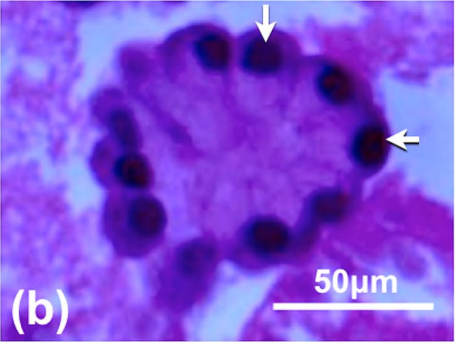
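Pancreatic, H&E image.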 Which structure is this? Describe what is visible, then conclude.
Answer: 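Acinus. A rounded group of cells arranged in a ring. Nuclei sit at the periphery with cytoplasm converging towards the centre.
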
